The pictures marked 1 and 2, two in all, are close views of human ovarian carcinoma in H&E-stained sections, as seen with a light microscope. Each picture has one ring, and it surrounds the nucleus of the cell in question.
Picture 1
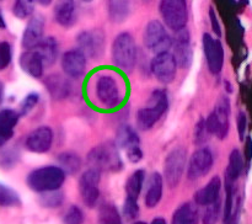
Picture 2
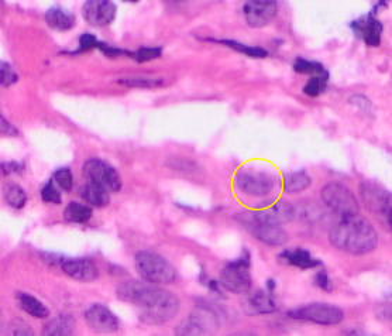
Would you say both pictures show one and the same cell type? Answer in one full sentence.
Yes, the two pictures both show carcinoma cells.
